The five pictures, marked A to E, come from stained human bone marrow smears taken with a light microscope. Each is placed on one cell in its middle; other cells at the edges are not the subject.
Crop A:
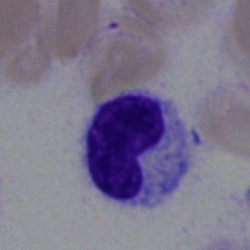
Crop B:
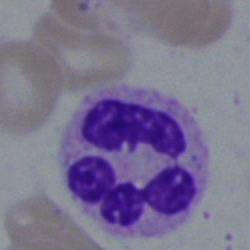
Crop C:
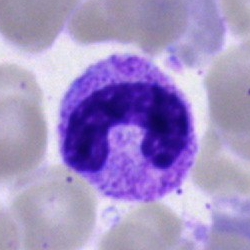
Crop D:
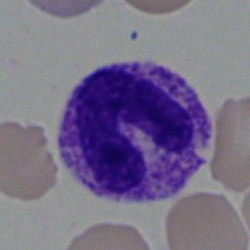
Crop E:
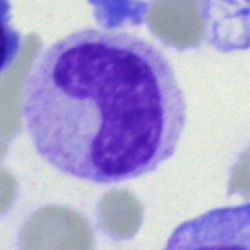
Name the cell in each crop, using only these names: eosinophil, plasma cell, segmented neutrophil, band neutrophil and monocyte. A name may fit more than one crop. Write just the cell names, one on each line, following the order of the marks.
band neutrophil
segmented neutrophil
band neutrophil
band neutrophil
band neutrophil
